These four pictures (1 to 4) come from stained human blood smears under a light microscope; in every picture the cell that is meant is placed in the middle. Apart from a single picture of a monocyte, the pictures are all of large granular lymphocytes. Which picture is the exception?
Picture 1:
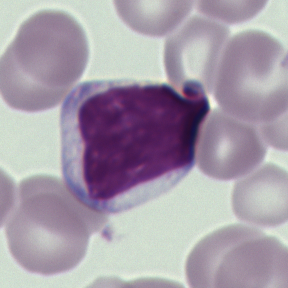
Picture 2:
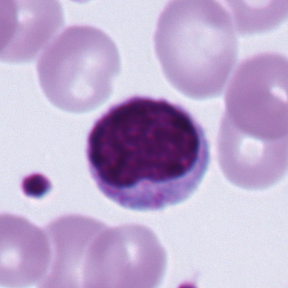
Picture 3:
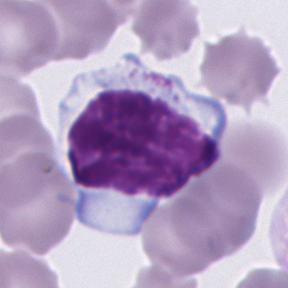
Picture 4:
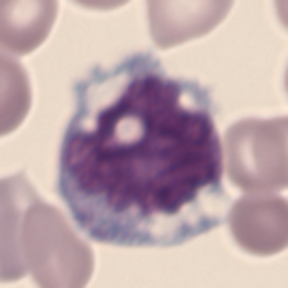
4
